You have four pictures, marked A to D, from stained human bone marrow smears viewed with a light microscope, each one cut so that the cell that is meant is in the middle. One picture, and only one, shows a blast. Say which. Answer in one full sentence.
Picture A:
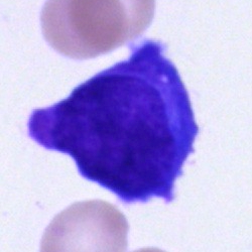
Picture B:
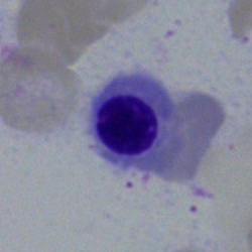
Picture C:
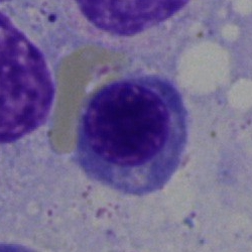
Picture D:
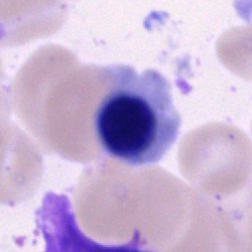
It is picture A that shows the blast.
